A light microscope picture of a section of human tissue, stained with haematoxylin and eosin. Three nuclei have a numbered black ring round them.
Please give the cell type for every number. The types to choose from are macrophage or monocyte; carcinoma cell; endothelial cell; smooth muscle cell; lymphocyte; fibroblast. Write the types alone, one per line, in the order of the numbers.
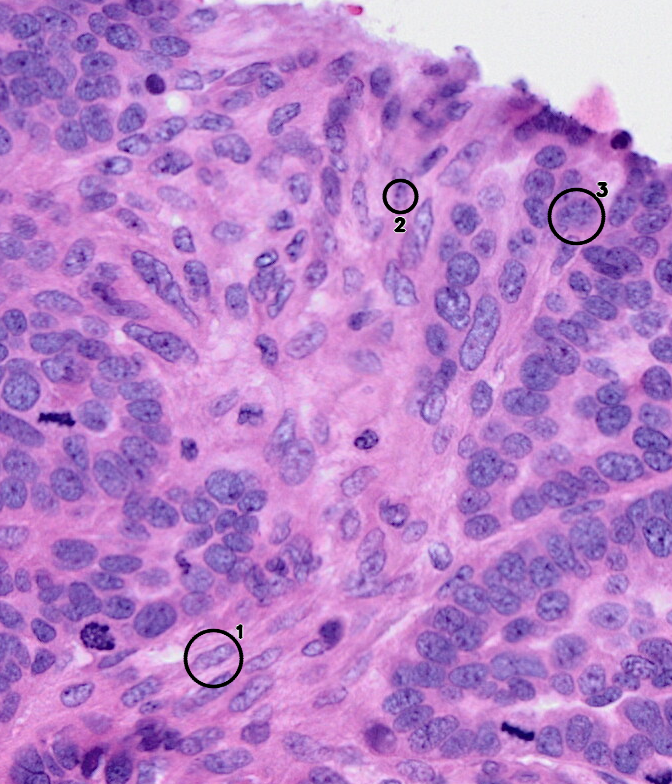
fibroblast
fibroblast
carcinoma cell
